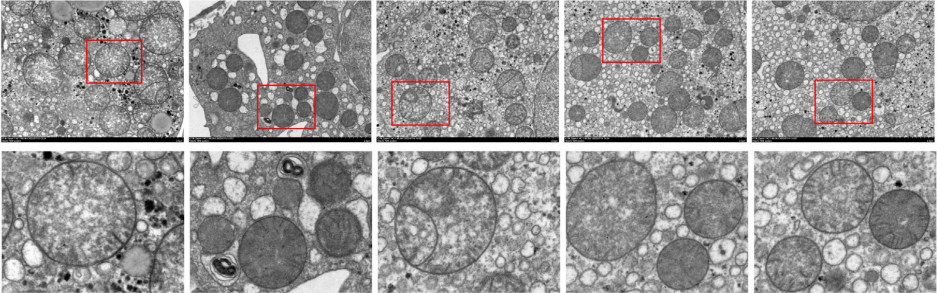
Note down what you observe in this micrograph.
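The cytoplasm of these cells is packed with rounded, membrane-bound organelles and many small pale vesicles, and the enlarged views show single organelles bounded by membranes with folded inner membranes. In one column these organelles look darker and more electron-dense, and dark membranous bodies lie beside them. These rounded organelles are mitochondria.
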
